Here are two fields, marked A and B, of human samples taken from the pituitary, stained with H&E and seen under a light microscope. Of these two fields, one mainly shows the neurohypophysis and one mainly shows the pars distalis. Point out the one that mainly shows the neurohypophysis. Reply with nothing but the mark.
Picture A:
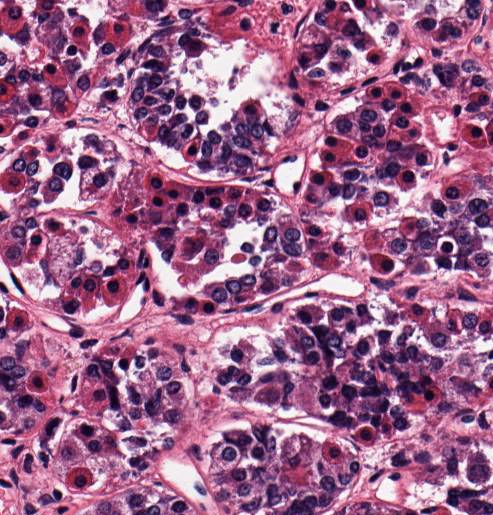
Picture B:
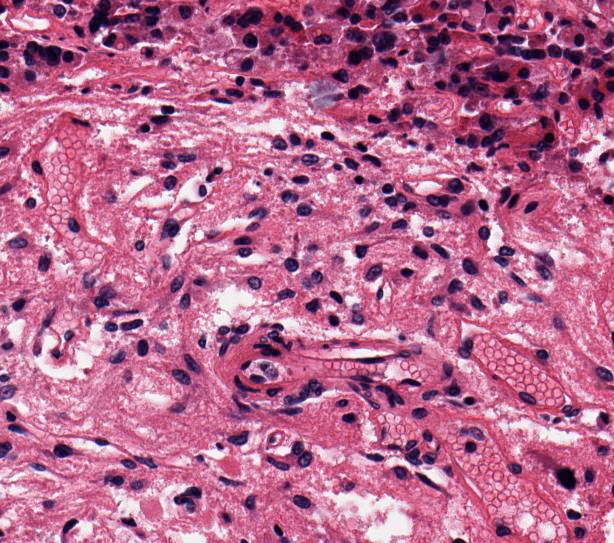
B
